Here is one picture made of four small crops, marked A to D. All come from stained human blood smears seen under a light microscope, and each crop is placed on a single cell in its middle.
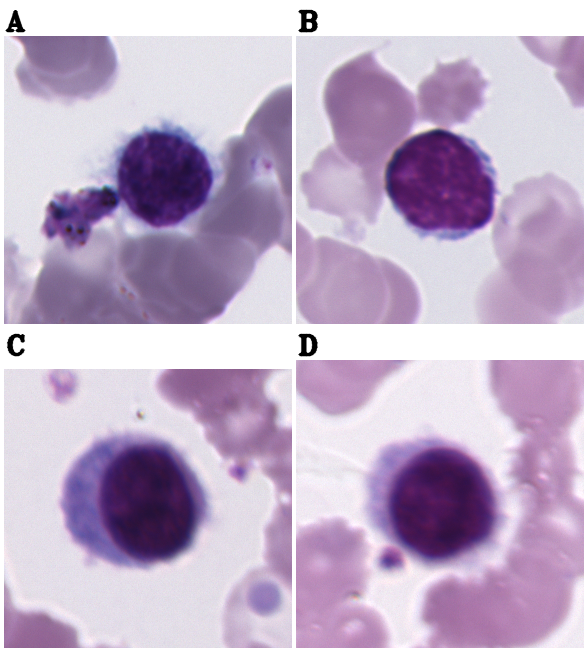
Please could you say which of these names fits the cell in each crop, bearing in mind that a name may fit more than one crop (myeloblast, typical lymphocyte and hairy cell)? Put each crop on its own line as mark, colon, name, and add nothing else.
A: hairy cell
B: typical lymphocyte
C: hairy cell
D: hairy cell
